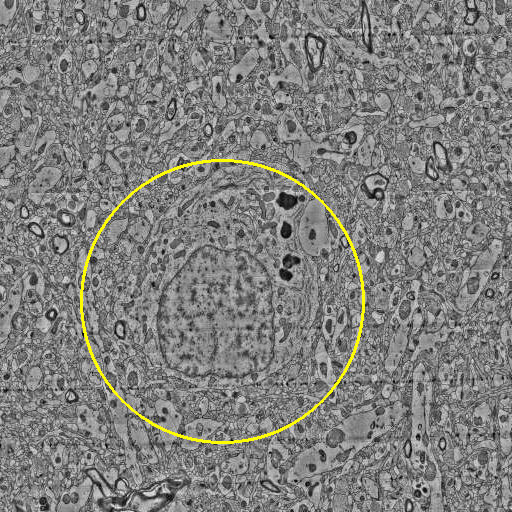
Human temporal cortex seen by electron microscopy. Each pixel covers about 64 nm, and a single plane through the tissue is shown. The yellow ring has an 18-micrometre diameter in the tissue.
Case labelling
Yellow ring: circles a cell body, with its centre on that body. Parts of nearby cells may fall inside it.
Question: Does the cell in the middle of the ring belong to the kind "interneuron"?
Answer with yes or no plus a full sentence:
Yes, in this picture the cell in the middle of the yellow ring belongs to that kind.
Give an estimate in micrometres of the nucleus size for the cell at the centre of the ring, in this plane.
About 9 micrometres across in this plane, for the nucleus.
